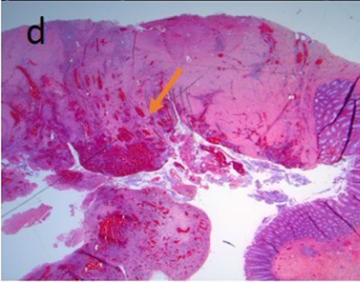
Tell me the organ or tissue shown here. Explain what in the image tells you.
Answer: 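Intestinal. On the right, a mucosa of closely packed tubular glands stained deep purple. The glands stand in parallel rows perpendicular to the surface. Beneath and beside the glands lies a thick pink-stained wall.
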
